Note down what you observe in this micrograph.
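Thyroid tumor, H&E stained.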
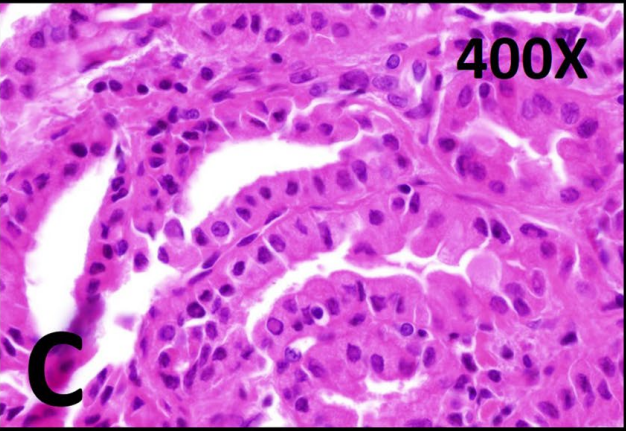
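Papillae lined by columnar epithelium at high power, the lining cells forming a single layer along open spaces. Nuclei are round to oval and line up within the tall cells, some pale with cleared chromatin. Cytoplasm is pink, and a thin stromal core lies beneath the lining.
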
